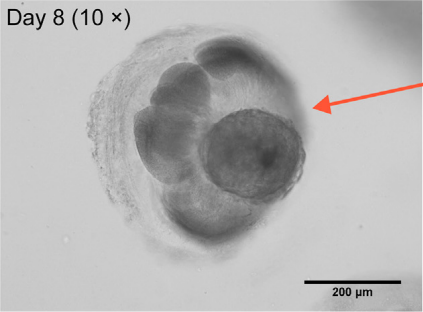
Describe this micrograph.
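The whole body is roughly round, a few hundred micrometres across. Along one side runs a row of dark, smooth, oval lobules, each looking like a bud of packed cells, and these curve around a larger rounded mass with a finely granular surface that sits toward the lower right. Individual cells are not resolved at this magnification.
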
